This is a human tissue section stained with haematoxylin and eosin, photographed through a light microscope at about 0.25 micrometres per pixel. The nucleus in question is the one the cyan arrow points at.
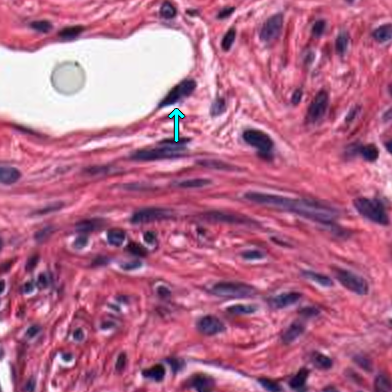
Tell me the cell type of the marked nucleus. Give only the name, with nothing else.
endothelial cell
